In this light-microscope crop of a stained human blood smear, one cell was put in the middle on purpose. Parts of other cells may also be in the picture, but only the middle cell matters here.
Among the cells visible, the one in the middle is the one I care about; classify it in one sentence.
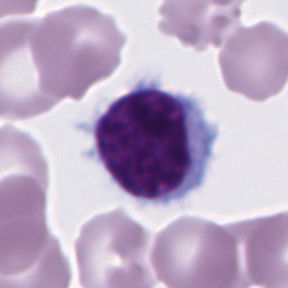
The middle of this crop is occupied by a hairy cell.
